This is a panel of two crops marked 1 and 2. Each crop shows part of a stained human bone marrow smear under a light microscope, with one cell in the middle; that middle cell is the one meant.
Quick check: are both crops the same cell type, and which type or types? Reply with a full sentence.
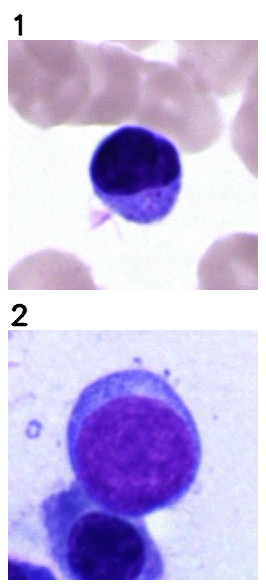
Yes, lymphocytes are the central cells in the two crops.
